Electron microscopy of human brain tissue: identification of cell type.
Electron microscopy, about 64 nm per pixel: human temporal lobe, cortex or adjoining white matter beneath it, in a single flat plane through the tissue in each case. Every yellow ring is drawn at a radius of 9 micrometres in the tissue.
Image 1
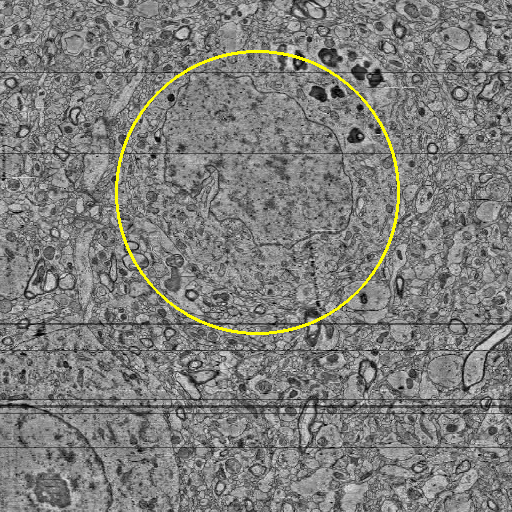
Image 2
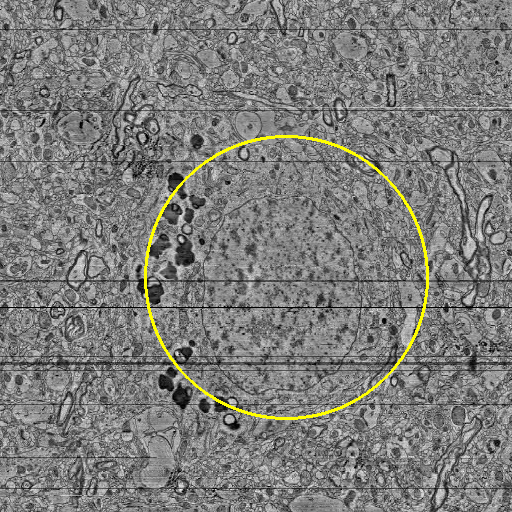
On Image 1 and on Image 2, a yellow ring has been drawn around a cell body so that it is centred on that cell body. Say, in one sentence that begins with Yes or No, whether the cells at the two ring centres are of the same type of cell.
Yes, both cells are the same type of cell.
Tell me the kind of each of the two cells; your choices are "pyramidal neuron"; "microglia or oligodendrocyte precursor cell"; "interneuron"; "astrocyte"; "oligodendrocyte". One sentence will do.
Each cell, in the first picture and the second, is a pyramidal neuron.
